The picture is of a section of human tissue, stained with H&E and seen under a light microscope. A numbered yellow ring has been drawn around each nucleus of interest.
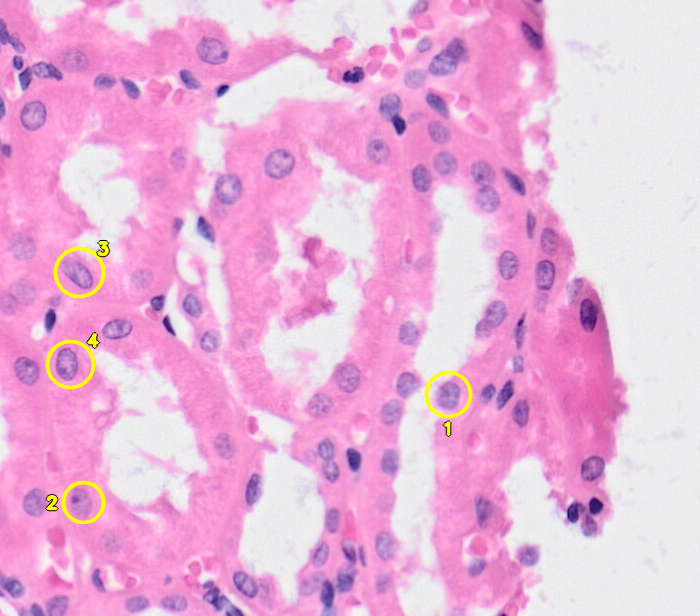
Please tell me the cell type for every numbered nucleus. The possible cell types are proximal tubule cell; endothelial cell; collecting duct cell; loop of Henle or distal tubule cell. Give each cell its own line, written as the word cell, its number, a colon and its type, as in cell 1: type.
cell 1: loop of Henle or distal tubule cell
cell 2: proximal tubule cell
cell 3: proximal tubule cell
cell 4: proximal tubule cell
